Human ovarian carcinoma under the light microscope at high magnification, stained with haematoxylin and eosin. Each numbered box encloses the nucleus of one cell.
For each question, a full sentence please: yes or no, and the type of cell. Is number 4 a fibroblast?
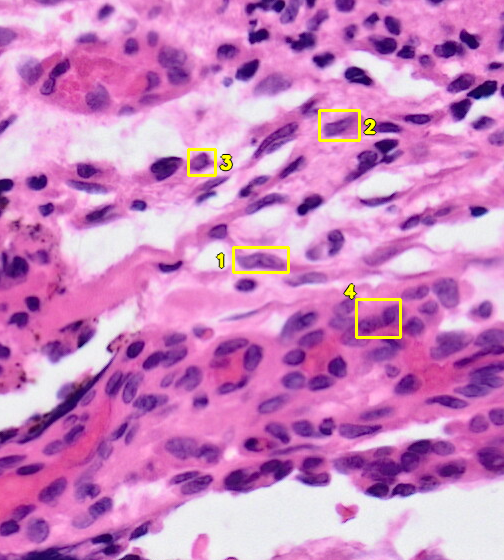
No, instead of a fibroblast, the cell with number 4 is an endothelial cell.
